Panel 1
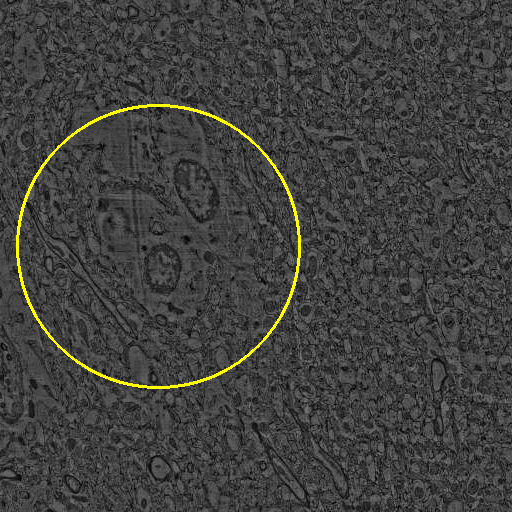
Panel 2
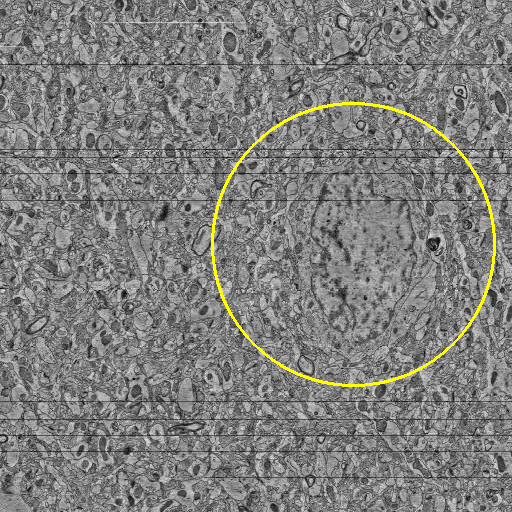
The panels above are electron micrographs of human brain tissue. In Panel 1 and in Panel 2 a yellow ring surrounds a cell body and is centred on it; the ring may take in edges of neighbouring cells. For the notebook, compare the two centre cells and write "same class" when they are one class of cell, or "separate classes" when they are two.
separate classes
